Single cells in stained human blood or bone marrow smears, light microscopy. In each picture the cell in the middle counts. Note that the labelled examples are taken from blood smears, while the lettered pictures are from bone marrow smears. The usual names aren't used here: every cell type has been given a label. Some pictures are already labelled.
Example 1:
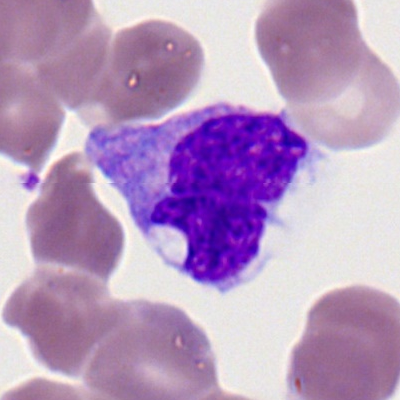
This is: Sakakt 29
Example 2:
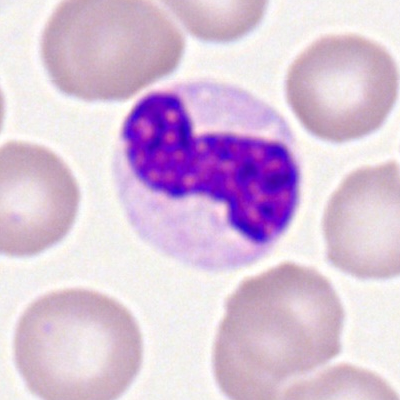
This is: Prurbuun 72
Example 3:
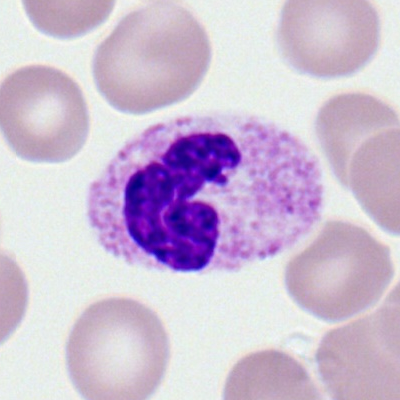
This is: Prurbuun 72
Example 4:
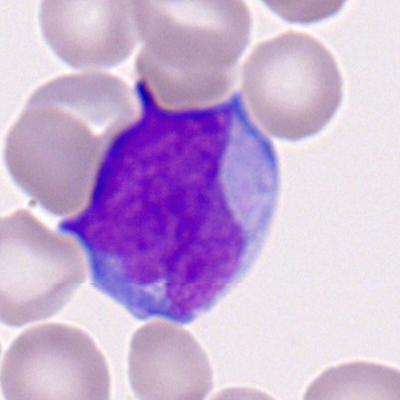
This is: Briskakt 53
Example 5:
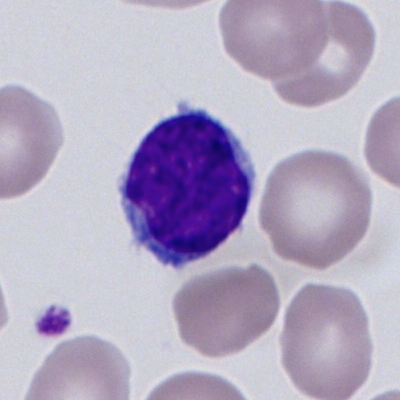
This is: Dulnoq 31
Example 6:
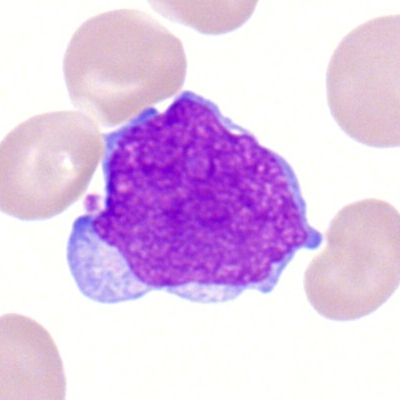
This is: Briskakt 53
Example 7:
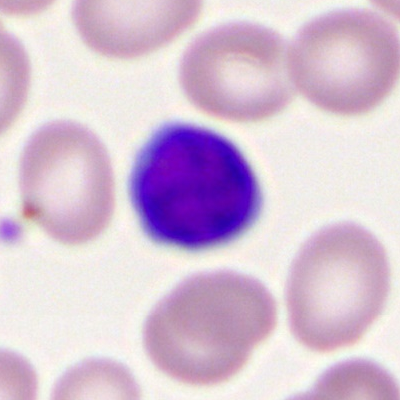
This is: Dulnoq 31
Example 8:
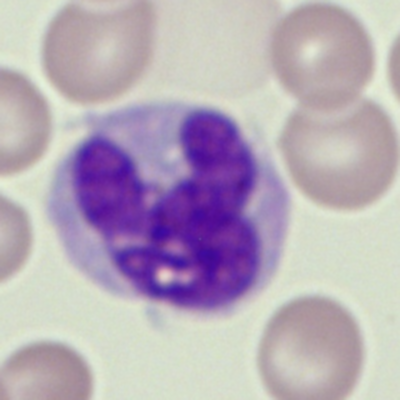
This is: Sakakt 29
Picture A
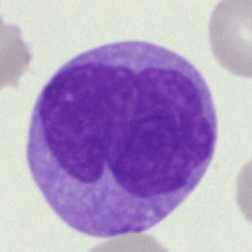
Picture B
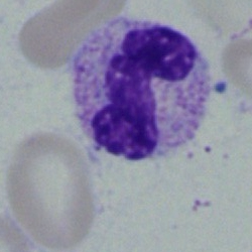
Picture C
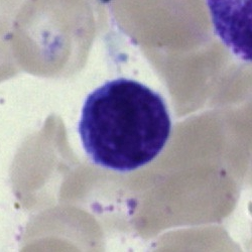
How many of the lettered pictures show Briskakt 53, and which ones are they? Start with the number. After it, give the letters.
Count: 1 (A)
